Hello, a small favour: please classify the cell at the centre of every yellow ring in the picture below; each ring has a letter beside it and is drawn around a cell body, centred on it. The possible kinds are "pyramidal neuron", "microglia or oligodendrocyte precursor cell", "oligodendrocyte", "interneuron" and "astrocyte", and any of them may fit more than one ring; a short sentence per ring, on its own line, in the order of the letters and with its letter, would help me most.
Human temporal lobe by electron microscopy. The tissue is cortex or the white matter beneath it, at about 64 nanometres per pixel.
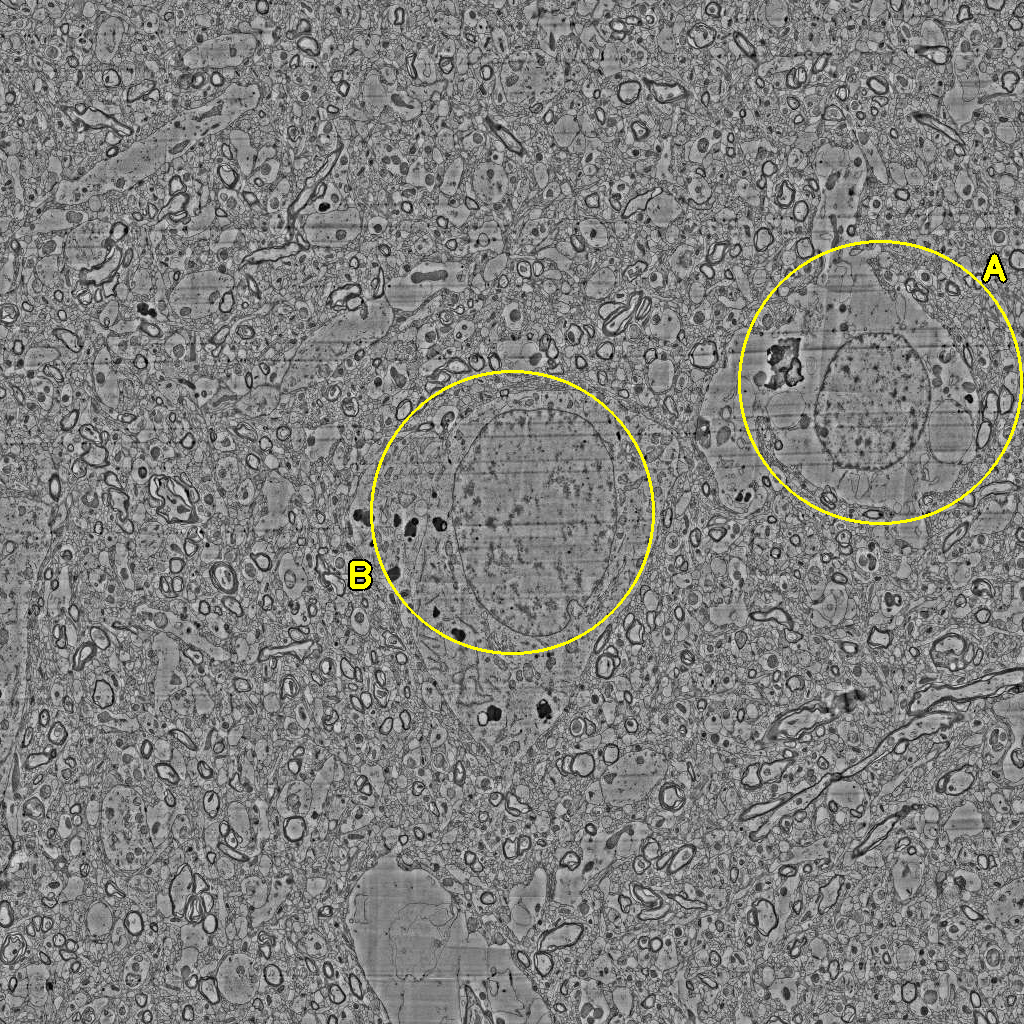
The centre of ring A falls on an astrocyte.
The centre of ring B falls on a pyramidal neuron.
